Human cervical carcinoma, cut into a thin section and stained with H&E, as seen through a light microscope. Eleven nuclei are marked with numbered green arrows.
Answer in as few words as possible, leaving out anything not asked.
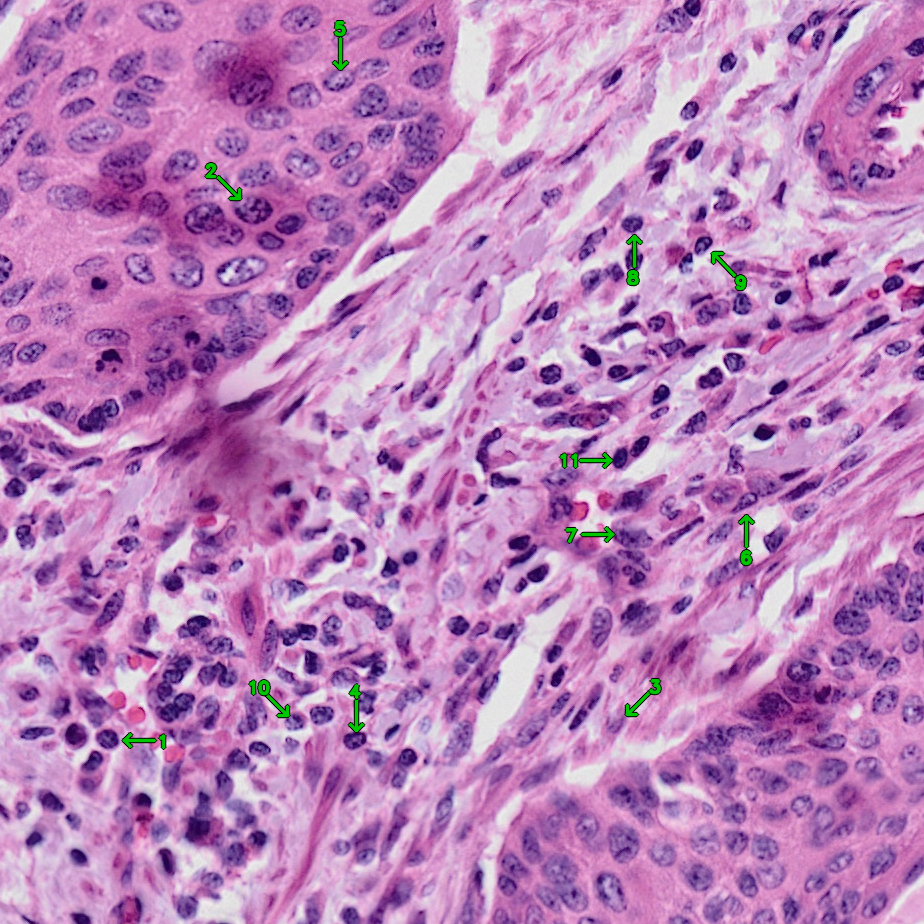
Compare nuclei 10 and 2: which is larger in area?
2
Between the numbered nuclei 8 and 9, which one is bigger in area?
8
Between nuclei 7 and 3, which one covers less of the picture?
3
